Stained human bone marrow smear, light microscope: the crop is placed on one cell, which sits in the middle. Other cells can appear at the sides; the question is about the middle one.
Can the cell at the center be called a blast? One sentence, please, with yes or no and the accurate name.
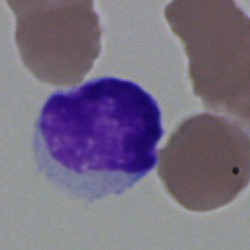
No, the central cell is a lymphocyte; it should not be labelled a blast.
